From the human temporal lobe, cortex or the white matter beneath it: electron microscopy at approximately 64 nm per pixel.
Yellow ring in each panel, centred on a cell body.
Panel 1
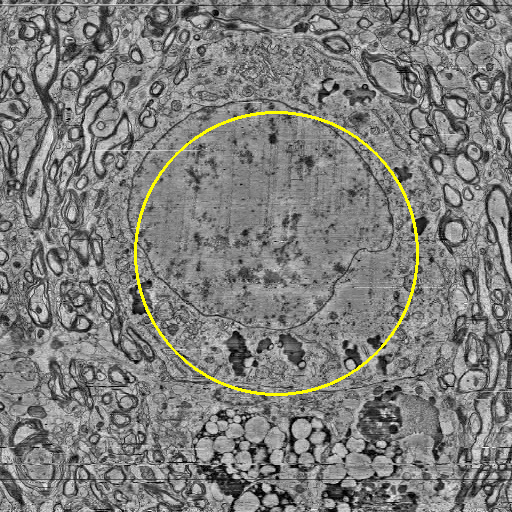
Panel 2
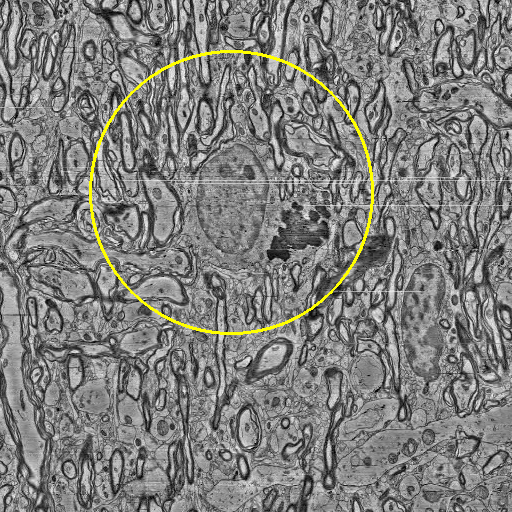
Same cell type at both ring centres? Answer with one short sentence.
No, the two cells are of two types.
